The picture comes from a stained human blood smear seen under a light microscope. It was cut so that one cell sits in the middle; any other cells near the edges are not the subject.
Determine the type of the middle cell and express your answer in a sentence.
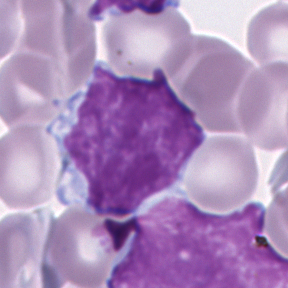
This particular crop is centered on a lymphocyte.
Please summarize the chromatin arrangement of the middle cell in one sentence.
Its chromatin is finely dispersed rather than coarsely clumped.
